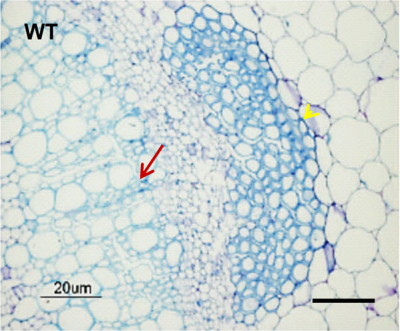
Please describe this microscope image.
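This transverse section of a stem shows the vascular region with xylem, a band of sclerenchyma and surrounding parenchyma. On the inner side lie rounded cells of varied size with light blue walls, forming the xylem. Between them and the outer tissue is a zone of small, tightly packed thin-walled cells. Further out runs a band of polygonal cells with thick, strongly blue-stained walls, the sclerenchyma. Beyond this band are large, thin-walled, nearly empty parenchyma cells with pale walls.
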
